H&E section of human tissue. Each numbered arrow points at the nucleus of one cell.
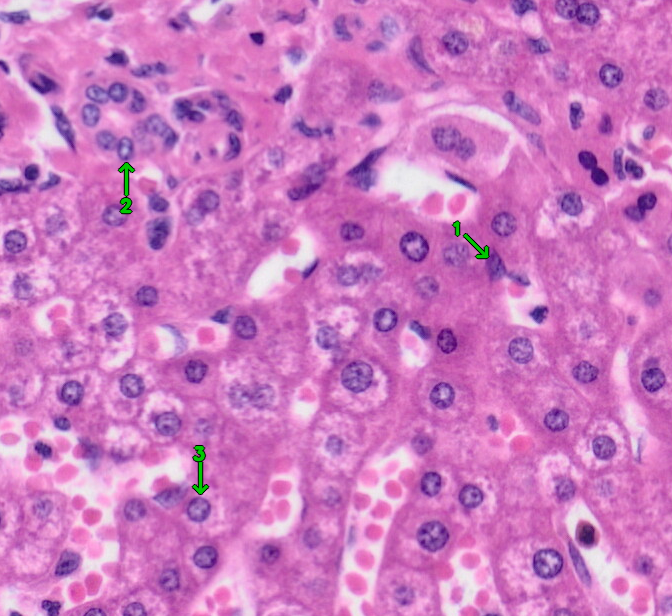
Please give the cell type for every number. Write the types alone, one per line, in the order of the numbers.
fibroblast or stellate cell
cholangiocyte
hepatocyte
